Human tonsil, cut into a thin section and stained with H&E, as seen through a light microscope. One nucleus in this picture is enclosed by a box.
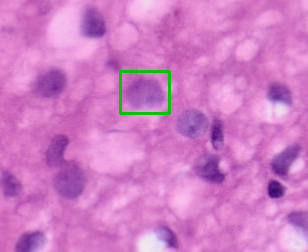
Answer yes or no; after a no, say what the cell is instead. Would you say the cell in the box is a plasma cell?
No, it is a squamous epithelial cell.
